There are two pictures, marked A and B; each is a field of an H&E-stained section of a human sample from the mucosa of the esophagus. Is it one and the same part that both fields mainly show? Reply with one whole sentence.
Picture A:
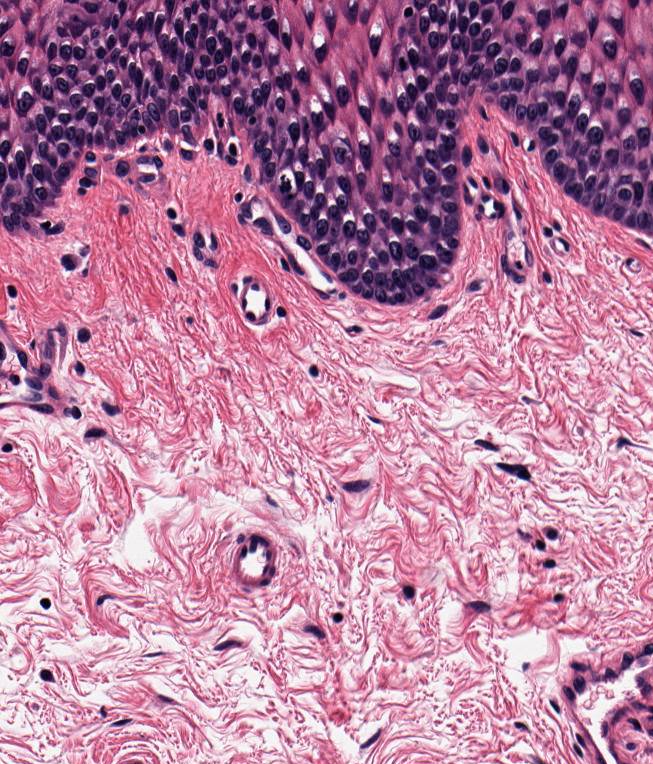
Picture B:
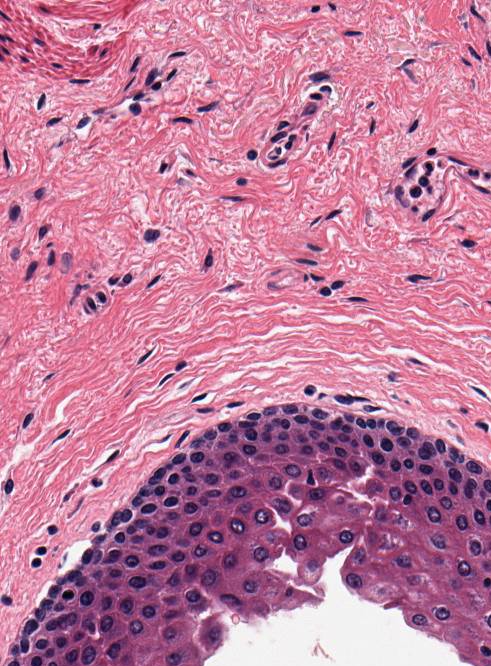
Yes, the two fields both mainly show loose connective tissue.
